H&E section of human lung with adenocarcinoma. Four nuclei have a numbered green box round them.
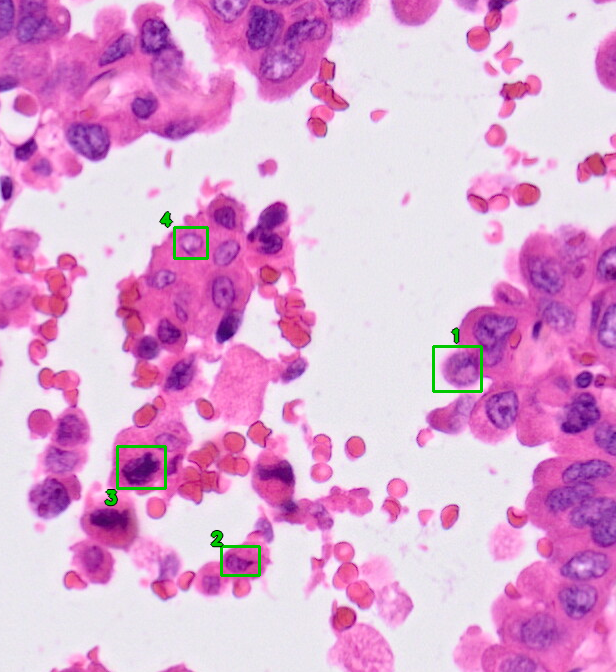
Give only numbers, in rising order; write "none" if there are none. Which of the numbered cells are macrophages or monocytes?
2, 4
